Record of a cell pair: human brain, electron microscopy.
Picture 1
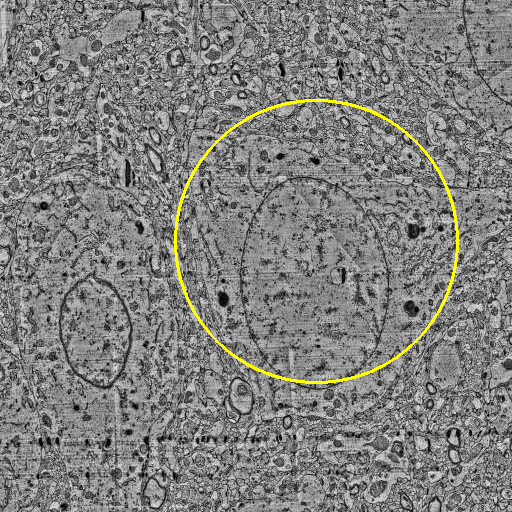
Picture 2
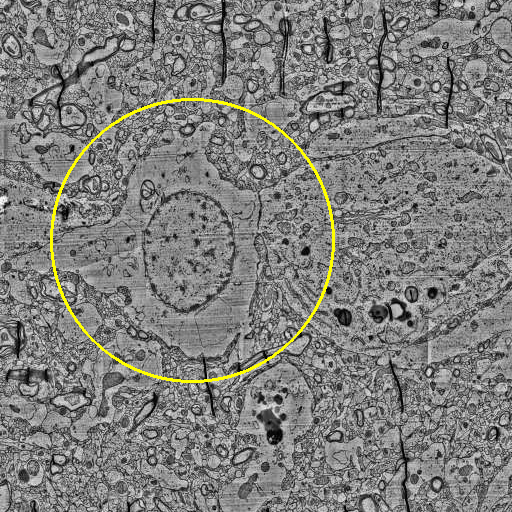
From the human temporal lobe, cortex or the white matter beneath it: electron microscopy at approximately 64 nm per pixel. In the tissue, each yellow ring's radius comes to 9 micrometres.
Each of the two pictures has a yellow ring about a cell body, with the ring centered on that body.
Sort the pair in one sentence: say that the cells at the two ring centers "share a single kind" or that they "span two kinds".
The cells centered in the rings of Pictures 1 and 2 span two kinds.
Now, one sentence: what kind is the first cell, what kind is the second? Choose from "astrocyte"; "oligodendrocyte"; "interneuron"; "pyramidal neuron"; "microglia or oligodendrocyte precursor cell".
The first picture has a pyramidal neuron at its ring centre, and the second has an astrocyte.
